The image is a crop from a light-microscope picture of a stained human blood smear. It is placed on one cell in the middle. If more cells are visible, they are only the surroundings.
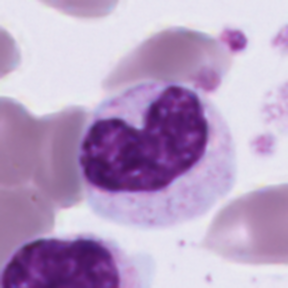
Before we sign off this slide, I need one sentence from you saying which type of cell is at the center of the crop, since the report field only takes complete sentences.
Of the cells in this crop, the central one is a metamyelocyte.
